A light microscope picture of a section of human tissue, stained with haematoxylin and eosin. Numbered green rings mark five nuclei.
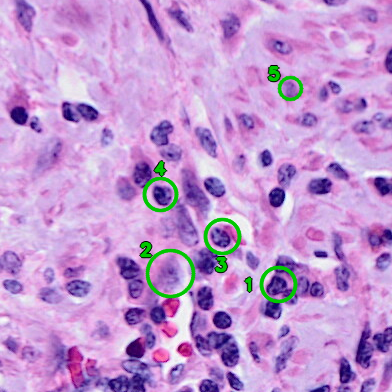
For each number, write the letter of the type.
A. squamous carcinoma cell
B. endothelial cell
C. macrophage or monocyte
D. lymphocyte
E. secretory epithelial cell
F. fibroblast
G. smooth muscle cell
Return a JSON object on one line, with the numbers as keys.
{"1": "D", "2": "B", "3": "D", "4": "D", "5": "G"}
